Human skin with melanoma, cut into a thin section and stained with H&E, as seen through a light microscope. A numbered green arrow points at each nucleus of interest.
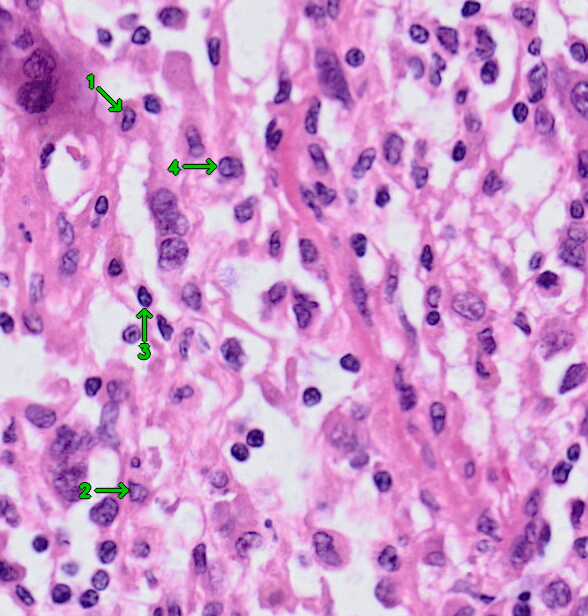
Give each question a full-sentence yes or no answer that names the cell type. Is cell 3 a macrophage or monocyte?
No, what number 3 shows is a lymphocyte, not a macrophage or monocyte.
